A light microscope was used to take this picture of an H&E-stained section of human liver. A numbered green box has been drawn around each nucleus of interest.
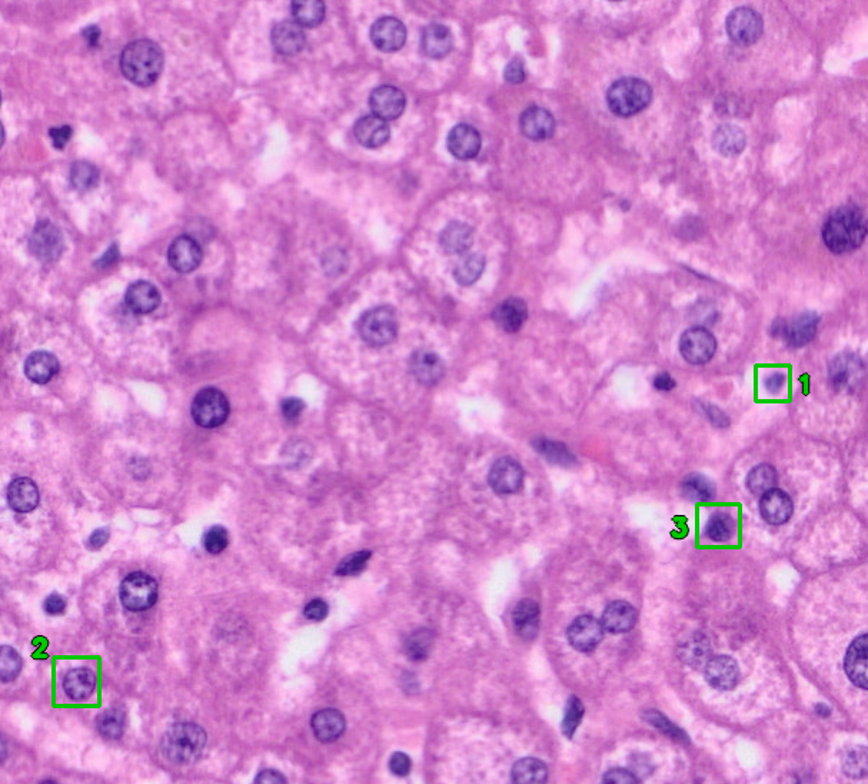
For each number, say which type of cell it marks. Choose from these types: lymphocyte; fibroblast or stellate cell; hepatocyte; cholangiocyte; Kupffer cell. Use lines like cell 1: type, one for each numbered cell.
cell 1: lymphocyte
cell 2: hepatocyte
cell 3: fibroblast or stellate cell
